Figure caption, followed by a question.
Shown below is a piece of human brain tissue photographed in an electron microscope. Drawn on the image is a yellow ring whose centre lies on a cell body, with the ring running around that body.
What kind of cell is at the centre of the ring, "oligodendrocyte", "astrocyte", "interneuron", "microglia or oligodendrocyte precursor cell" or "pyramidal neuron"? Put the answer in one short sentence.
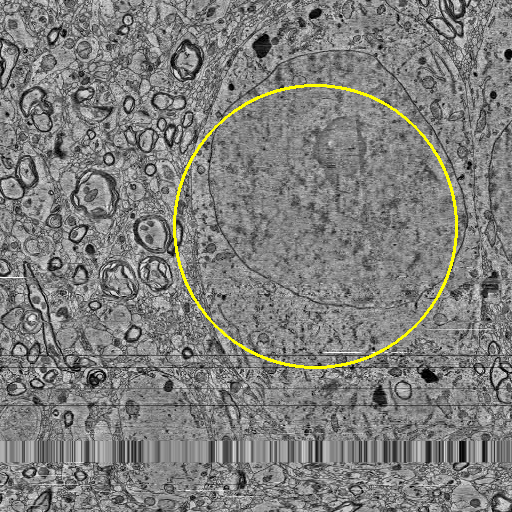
The ring marks the cell body of a pyramidal neuron.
